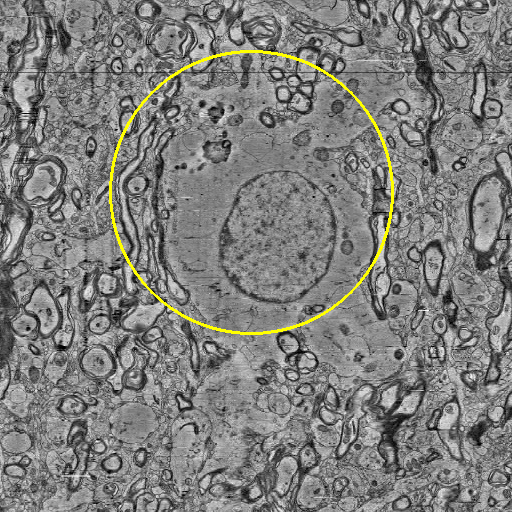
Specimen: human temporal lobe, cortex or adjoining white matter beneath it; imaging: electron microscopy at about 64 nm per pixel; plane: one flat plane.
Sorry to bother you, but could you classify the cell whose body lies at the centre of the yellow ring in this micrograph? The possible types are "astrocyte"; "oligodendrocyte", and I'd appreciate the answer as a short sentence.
The ringed cell body is that of an astrocyte.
